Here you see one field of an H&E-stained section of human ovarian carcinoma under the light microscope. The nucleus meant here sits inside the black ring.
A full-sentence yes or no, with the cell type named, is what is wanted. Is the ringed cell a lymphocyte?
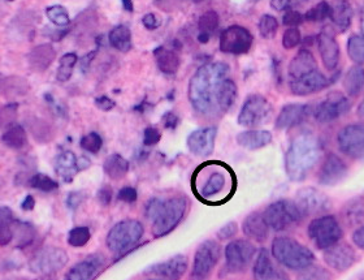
No, in this section the ringed cell is a macrophage or monocyte and not a lymphocyte.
